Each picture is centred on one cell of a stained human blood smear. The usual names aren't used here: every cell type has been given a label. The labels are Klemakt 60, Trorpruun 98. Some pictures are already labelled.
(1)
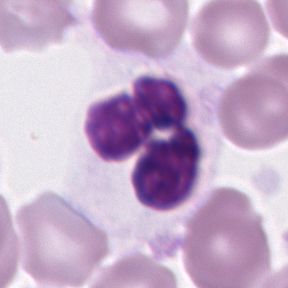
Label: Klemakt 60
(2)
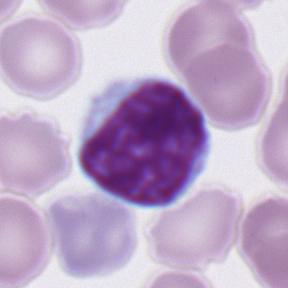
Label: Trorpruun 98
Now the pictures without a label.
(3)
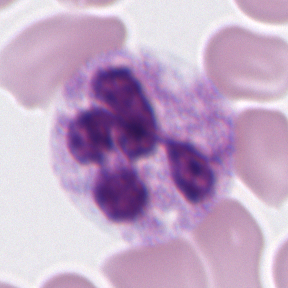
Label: Klemakt 60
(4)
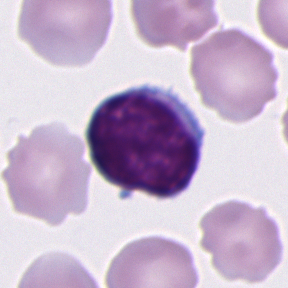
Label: Trorpruun 98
